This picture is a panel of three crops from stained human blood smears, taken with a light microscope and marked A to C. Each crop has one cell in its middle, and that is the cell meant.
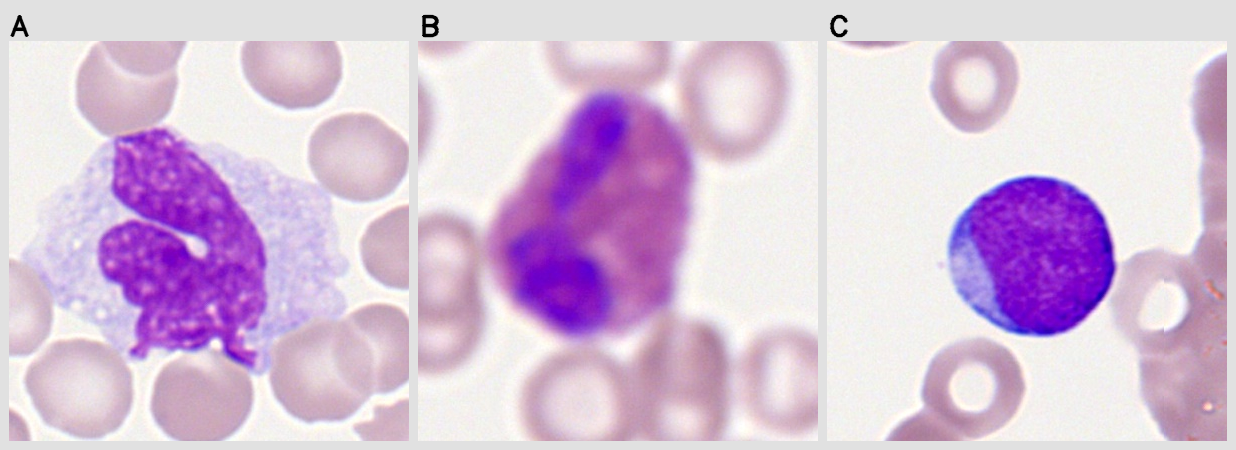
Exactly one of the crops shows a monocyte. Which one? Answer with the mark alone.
A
